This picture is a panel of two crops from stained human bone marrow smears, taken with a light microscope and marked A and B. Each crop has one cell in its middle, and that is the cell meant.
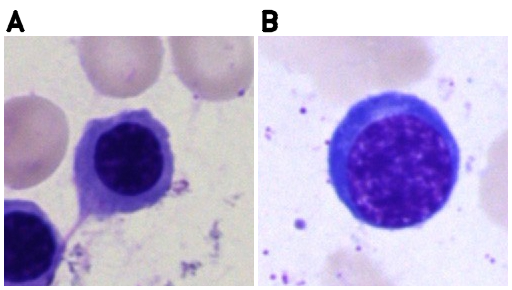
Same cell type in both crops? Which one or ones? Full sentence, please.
Yes, in both crops the centred cells are normoblasts.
